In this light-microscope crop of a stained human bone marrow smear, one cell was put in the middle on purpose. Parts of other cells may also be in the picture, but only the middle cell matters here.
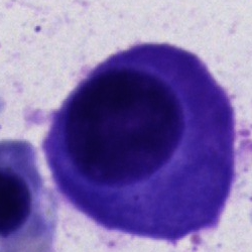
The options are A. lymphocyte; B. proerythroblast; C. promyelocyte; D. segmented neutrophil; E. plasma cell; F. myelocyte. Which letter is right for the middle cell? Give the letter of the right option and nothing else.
E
